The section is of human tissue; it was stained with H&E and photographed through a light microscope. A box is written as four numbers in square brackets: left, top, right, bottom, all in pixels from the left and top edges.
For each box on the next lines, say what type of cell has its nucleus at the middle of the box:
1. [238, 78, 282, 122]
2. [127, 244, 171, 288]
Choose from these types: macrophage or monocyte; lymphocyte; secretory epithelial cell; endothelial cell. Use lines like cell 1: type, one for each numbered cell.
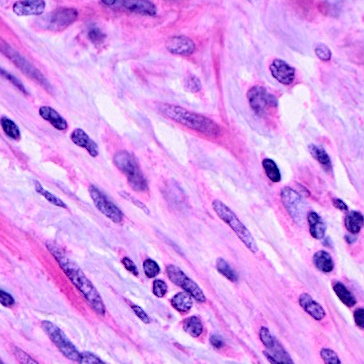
cell 1: macrophage or monocyte
cell 2: lymphocyte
